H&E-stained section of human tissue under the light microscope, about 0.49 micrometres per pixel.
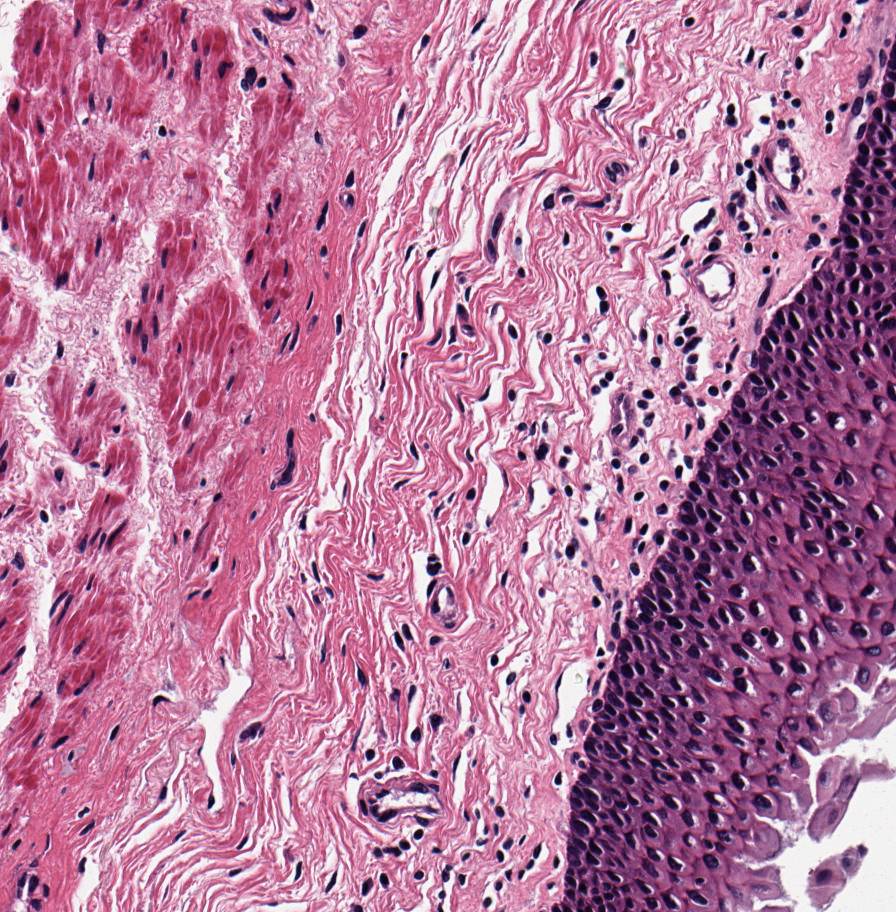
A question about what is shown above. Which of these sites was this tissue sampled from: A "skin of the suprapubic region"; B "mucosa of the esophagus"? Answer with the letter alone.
B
